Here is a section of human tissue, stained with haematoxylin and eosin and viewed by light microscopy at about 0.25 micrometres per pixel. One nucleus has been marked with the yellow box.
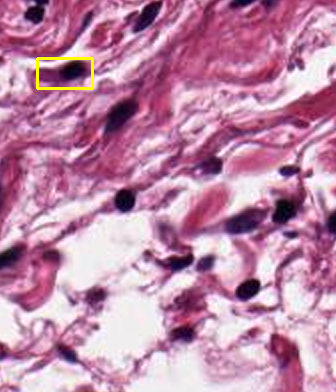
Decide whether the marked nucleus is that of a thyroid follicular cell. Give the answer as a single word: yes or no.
no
